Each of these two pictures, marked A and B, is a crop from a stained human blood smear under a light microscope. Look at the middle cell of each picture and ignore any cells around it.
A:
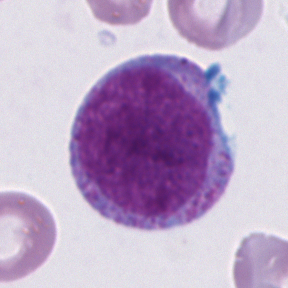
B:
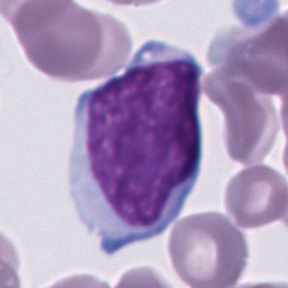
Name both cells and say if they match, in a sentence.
No, a promyelocyte is the subject of crop A, and a myeloblast is the subject of crop B.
